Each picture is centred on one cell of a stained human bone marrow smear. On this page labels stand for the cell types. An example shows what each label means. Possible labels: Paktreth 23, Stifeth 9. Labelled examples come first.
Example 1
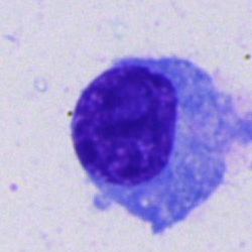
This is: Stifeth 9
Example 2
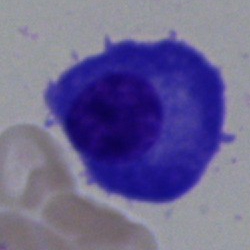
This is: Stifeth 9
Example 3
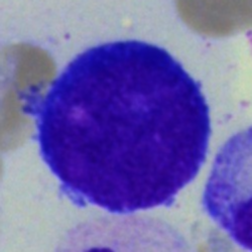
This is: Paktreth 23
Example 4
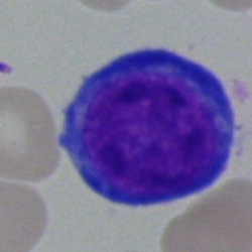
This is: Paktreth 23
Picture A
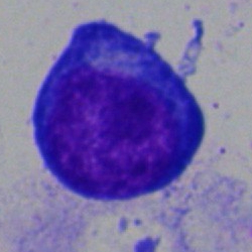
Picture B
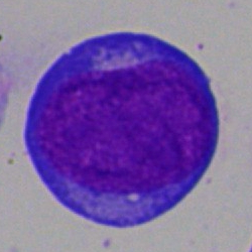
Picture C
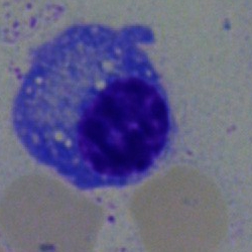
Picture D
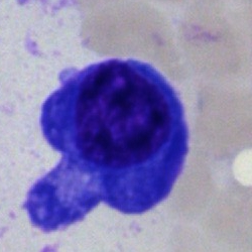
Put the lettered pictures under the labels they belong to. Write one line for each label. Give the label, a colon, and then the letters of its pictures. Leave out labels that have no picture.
Paktreth 23: A, B
Stifeth 9: C, D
